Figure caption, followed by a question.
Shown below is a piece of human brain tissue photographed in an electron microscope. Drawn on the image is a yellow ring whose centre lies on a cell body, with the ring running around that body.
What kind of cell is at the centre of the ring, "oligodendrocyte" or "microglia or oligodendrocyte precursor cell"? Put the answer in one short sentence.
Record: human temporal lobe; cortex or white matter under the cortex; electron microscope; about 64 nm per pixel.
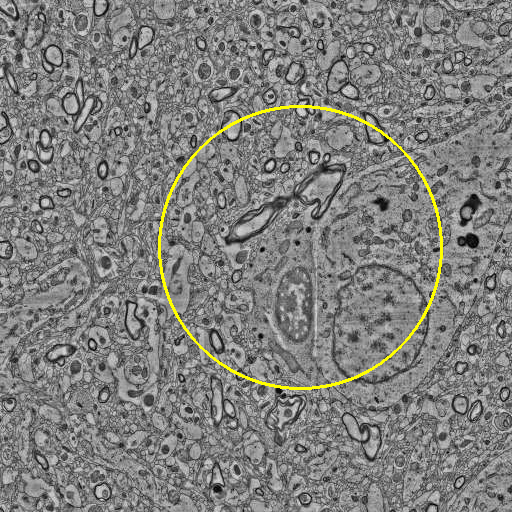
The ring marks the cell body of an oligodendrocyte.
